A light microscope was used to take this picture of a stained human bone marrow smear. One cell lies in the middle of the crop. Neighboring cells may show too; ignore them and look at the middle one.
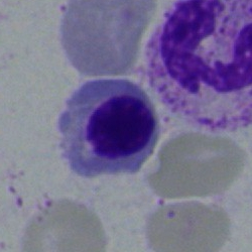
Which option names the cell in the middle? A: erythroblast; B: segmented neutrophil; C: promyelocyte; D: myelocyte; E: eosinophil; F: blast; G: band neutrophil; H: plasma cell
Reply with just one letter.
A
